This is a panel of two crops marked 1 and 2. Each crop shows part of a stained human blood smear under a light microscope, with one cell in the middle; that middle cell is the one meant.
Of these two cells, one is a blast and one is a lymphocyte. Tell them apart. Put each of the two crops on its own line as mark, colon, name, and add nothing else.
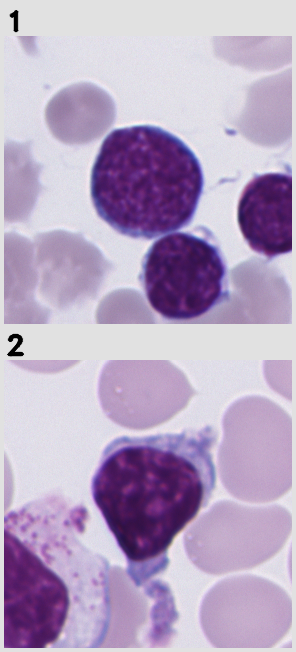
1: blast
2: lymphocyte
